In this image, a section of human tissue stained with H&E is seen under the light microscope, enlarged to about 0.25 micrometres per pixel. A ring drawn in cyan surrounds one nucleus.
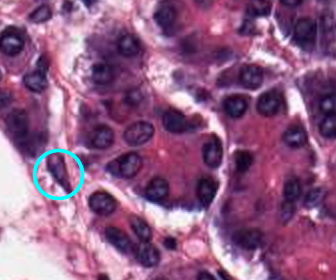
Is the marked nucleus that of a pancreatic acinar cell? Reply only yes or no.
no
